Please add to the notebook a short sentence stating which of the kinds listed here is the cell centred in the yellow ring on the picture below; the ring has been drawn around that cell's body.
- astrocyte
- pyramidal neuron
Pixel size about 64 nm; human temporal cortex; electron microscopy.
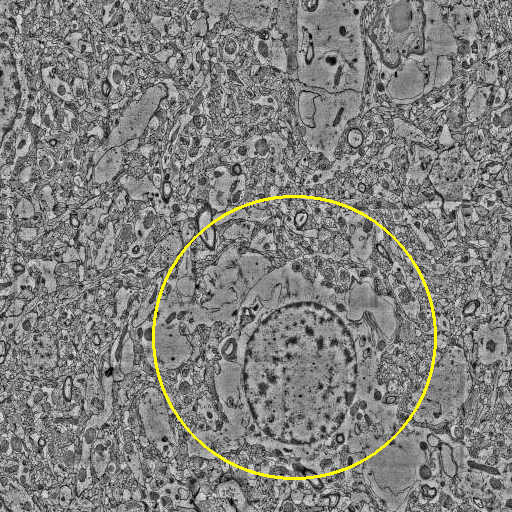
The cell centred in the yellow ring is an astrocyte.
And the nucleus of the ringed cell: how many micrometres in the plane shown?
About 9 micrometres by about 7 micrometres in this plane.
